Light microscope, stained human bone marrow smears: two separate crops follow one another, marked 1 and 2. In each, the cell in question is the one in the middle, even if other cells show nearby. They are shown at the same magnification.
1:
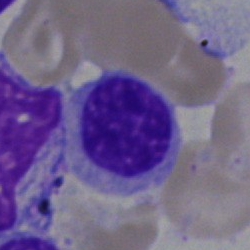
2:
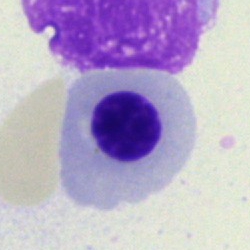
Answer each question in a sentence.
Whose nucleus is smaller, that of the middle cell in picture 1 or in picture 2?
Picture 2 shows the smaller nucleus, since that in picture 1 covers about 2 times as much area.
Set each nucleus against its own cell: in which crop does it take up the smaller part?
It is the cell in picture 2 that is filled less by its nucleus.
